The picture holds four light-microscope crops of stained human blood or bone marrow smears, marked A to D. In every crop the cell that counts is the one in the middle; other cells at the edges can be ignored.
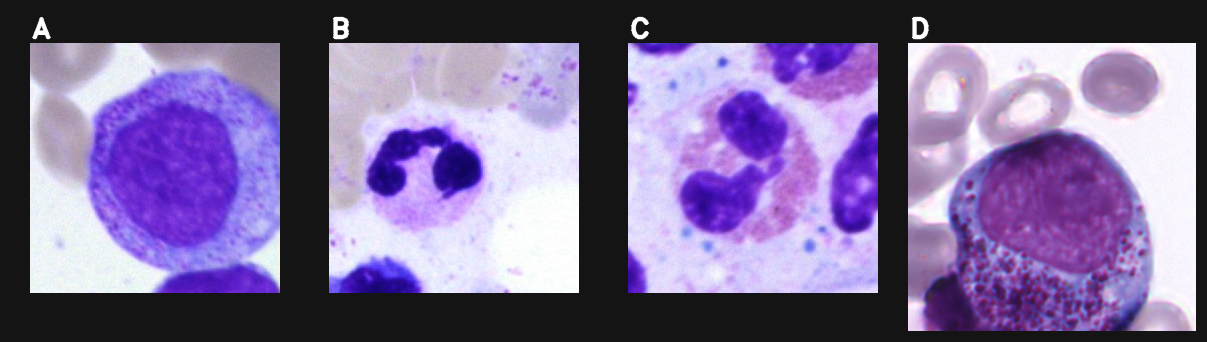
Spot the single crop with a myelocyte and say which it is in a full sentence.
Crop A is the crop whose central cell is a myelocyte.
